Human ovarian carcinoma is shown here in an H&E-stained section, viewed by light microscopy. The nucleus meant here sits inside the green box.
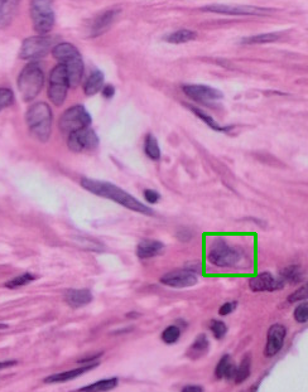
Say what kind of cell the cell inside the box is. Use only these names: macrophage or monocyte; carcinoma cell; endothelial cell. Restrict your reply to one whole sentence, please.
In cell-type terms, the cell inside the box is an endothelial cell.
